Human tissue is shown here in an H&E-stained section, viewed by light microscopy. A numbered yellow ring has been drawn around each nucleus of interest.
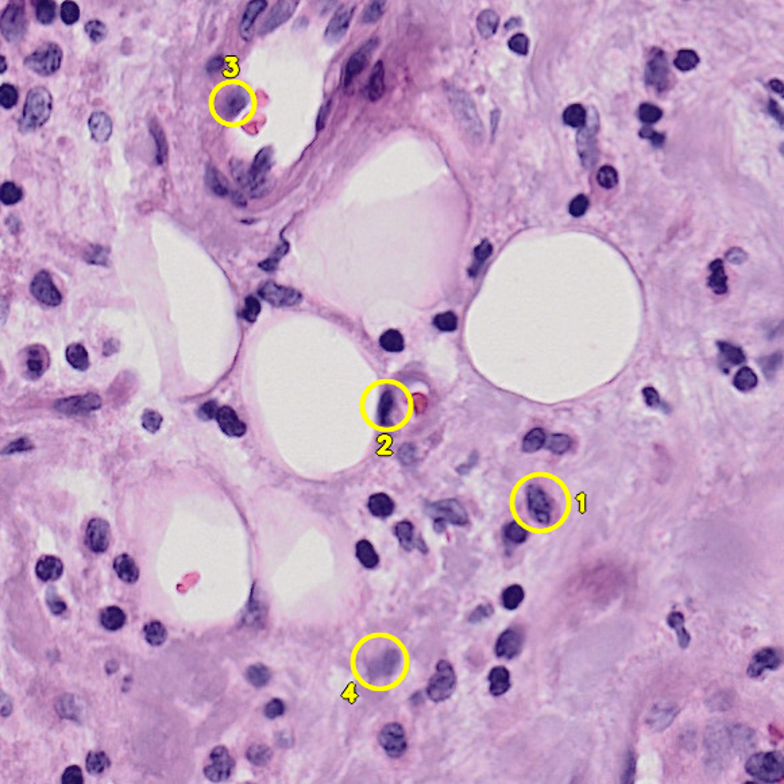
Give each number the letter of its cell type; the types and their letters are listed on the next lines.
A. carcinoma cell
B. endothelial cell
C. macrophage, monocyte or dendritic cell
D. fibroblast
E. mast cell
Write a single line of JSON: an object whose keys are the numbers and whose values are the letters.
{"1": "E", "2": "B", "3": "B", "4": "D"}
